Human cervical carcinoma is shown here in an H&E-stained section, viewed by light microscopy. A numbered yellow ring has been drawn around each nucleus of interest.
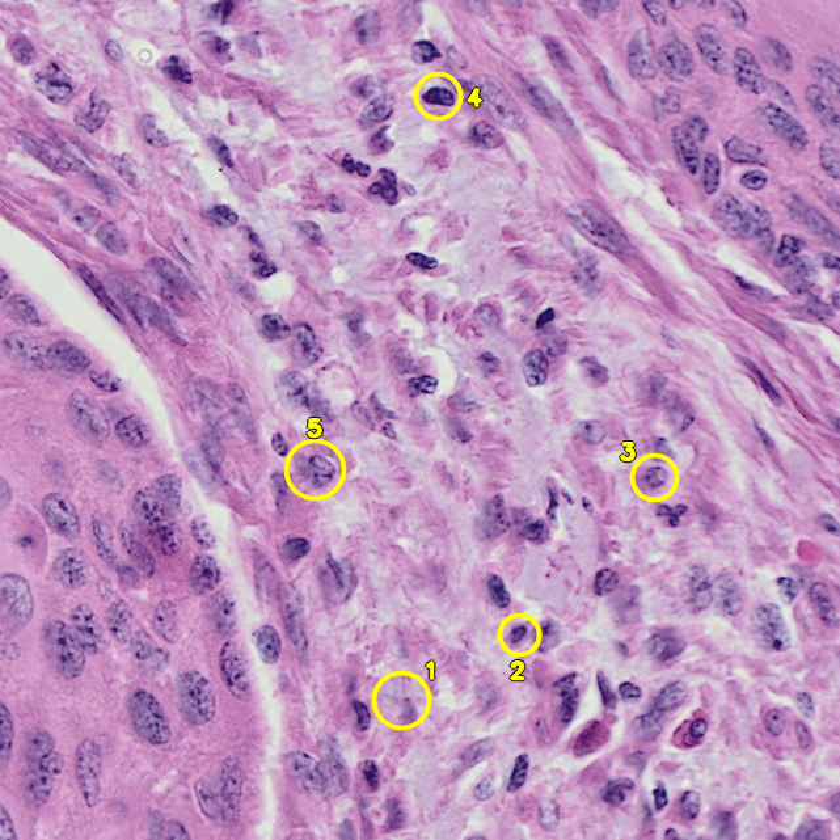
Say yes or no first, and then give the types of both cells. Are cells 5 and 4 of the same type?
No, cell 5 here is a macrophage or monocyte and cell 4 here is a lymphocyte.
